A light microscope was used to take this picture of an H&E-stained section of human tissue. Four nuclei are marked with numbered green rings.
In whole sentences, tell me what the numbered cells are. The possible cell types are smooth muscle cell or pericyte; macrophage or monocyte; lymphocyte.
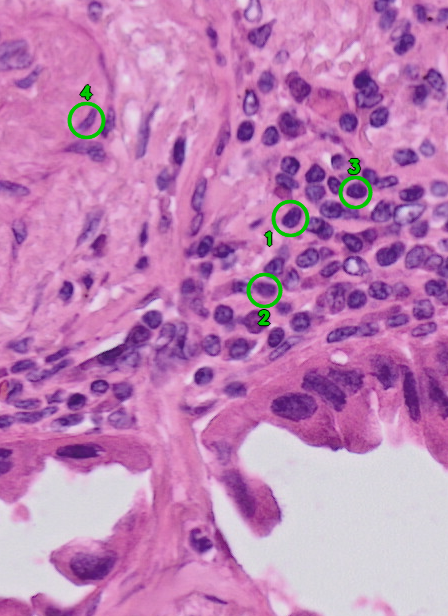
Cells 1, 2 and 3 are lymphocytes. Cell 4 is a smooth muscle cell or pericyte.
